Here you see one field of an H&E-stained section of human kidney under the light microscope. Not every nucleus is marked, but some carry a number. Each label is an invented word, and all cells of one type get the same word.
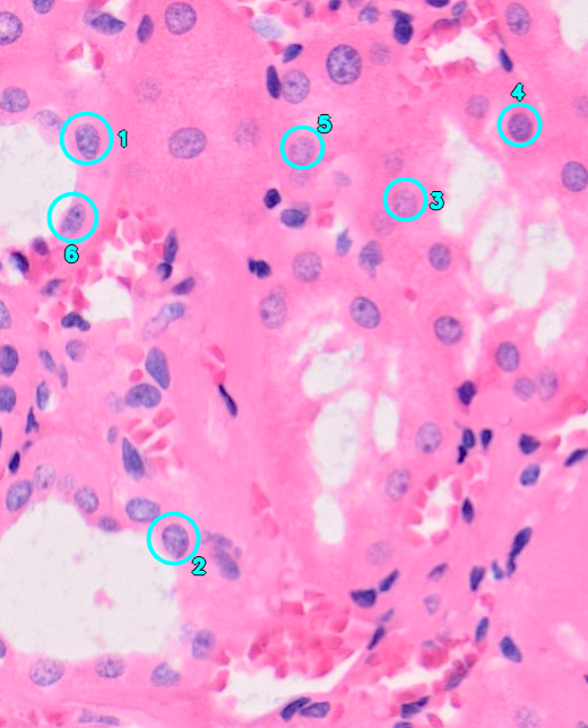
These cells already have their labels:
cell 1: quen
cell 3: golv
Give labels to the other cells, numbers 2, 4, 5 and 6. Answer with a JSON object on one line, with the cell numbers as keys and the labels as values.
{"2": "quen", "4": "golv", "5": "golv", "6": "quen"}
